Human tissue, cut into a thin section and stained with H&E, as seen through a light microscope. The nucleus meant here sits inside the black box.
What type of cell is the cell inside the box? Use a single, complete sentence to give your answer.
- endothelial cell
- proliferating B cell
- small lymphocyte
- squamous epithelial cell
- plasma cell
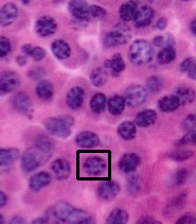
What the cell inside the box represents is a plasma cell.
